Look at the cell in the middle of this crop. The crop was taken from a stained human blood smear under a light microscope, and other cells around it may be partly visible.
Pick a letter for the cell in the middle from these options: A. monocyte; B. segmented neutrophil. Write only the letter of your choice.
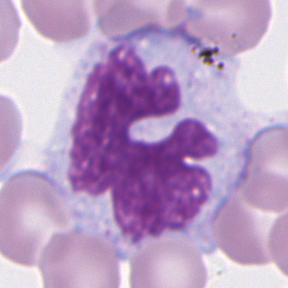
A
